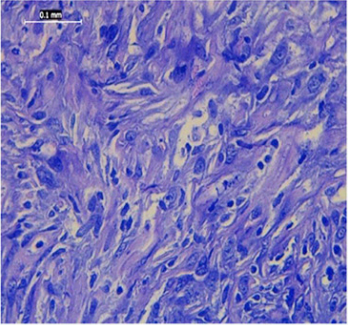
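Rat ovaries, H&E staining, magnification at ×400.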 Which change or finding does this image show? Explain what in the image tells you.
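Sarcoma. Spindle-shaped cells with elongated nuclei run in interlacing fascicles. No glands or epithelial nests are present.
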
